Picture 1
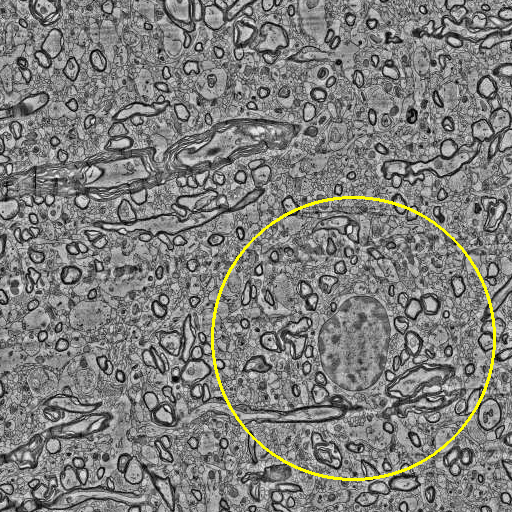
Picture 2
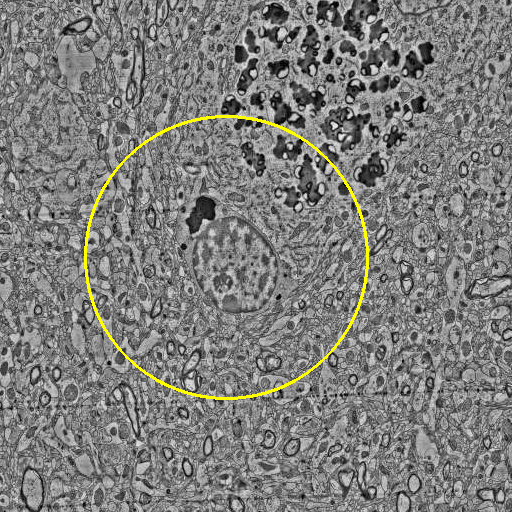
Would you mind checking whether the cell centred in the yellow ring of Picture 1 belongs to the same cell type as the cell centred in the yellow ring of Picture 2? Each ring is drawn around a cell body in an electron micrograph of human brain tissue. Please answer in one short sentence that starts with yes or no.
No, the two cells are of two types.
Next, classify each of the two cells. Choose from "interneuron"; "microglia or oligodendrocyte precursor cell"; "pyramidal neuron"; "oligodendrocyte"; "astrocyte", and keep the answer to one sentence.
In the first picture it is a microglial cell or oligodendrocyte precursor cell; in the second it is an oligodendrocyte.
